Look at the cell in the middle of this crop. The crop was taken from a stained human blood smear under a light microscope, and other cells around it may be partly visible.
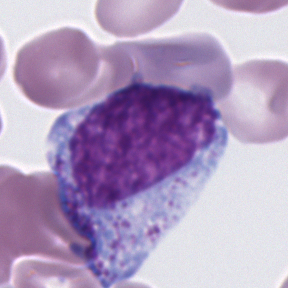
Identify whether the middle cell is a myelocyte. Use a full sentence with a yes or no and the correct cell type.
Yes, the cell that is in the middle is a myelocyte.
